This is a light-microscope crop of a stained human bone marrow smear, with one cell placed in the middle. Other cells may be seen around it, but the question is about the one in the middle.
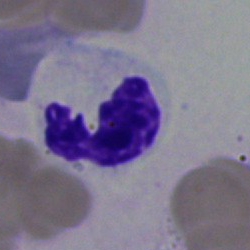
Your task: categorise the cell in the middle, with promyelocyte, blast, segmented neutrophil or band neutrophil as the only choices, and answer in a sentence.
The cell shown in the center of this light-microscope crop is a segmented neutrophil.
